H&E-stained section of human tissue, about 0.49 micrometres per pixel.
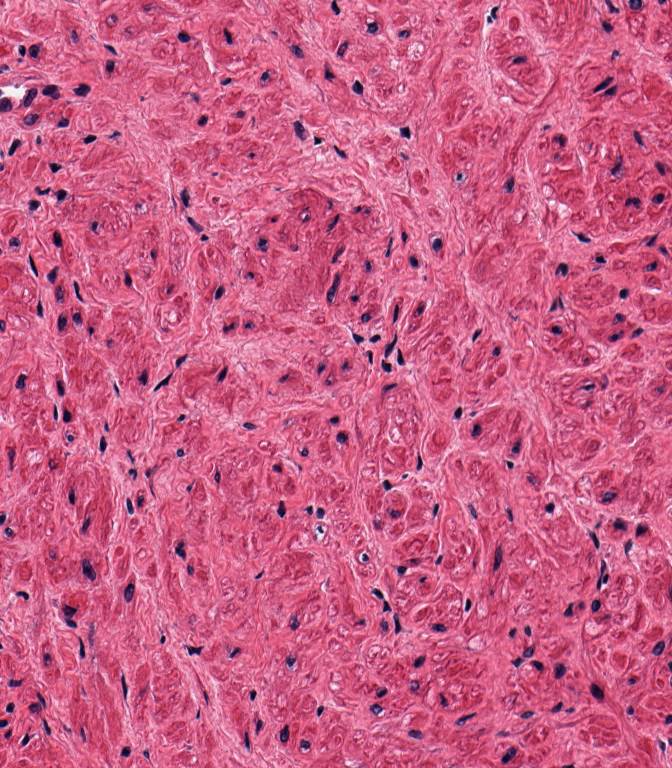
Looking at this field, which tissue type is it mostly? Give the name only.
fibromuscular stroma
